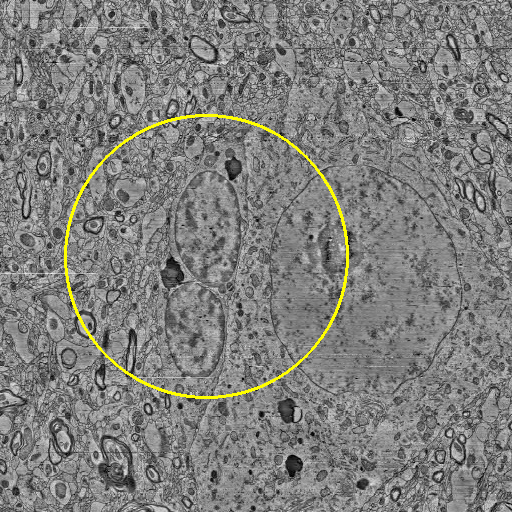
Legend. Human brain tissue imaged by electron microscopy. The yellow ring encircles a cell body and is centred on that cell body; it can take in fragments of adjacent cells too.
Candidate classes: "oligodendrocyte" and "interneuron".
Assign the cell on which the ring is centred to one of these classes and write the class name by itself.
oligodendrocyte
